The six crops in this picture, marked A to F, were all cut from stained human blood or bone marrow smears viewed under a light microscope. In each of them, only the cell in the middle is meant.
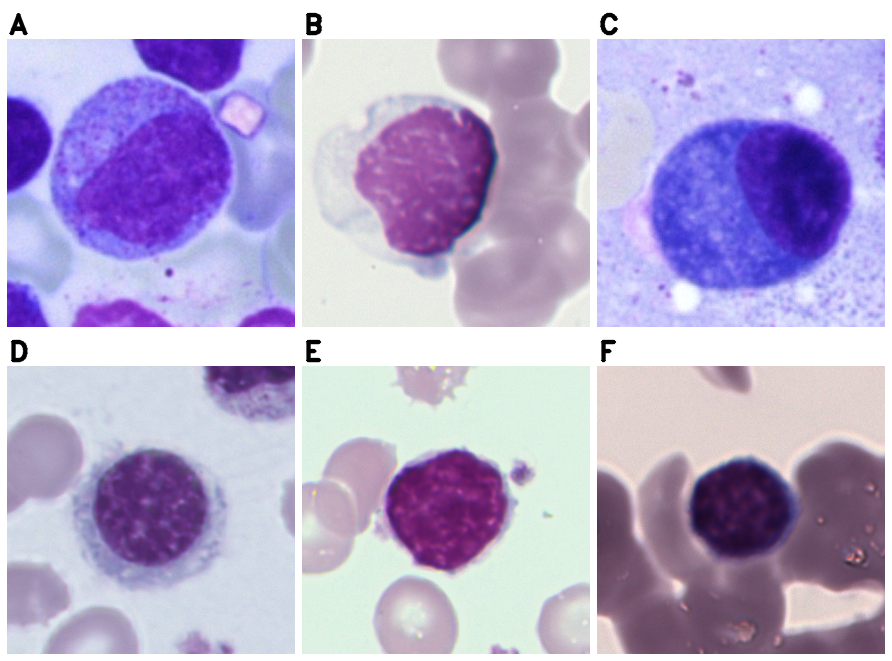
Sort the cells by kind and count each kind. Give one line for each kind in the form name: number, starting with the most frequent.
lymphocyte: 3
plasma cell: 2
promyelocyte: 1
